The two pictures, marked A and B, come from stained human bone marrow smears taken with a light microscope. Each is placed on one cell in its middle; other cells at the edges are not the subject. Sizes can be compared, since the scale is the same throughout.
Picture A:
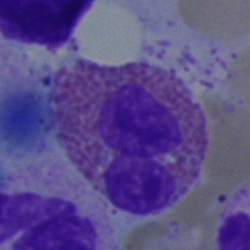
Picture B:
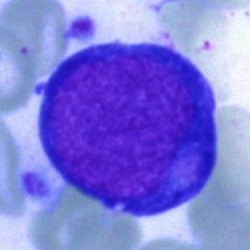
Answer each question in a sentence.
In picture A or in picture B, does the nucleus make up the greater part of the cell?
The nucleus fills more of the cell in picture B than in picture A.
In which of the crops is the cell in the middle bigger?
Larger is the cell in picture B, at roughly 1.5 times the area of the other.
